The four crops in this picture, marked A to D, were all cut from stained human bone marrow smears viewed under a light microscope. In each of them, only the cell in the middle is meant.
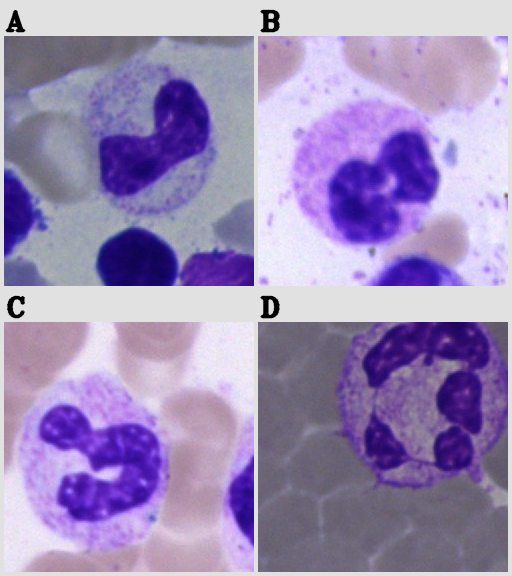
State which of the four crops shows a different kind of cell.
A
